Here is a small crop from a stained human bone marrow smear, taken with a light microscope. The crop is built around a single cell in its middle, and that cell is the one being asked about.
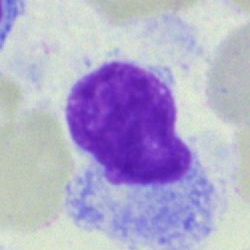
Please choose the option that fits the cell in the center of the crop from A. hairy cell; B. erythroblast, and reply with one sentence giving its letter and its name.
What sits in the middle of the crop is a hairy cell, and option A is correct.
